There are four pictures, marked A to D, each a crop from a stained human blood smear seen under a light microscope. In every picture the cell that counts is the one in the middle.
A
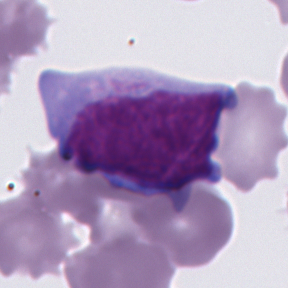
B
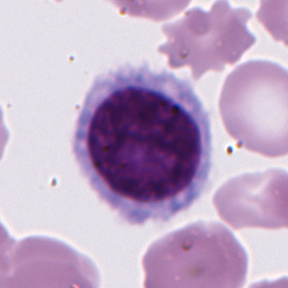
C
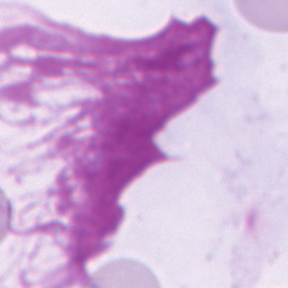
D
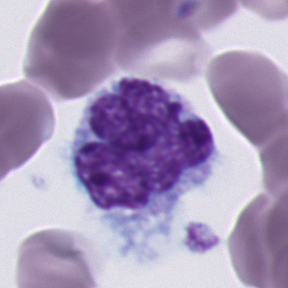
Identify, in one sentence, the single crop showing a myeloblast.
Within this set, crop A is the one with a myeloblast at its center.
